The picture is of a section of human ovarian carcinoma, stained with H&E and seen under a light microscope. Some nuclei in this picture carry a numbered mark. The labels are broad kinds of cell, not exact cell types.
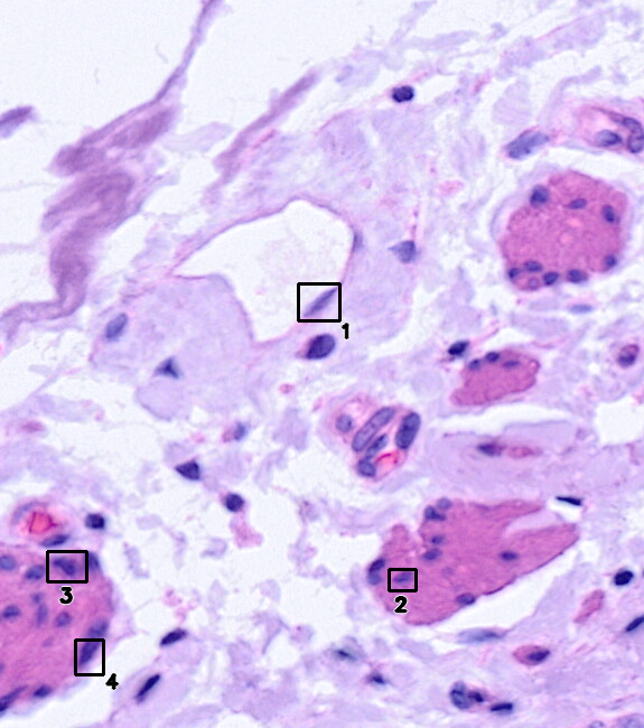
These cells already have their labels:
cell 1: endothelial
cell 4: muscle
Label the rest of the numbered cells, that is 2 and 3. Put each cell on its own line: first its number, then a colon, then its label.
2: muscle
3: muscle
